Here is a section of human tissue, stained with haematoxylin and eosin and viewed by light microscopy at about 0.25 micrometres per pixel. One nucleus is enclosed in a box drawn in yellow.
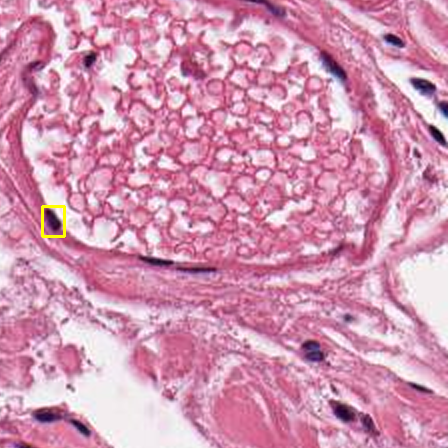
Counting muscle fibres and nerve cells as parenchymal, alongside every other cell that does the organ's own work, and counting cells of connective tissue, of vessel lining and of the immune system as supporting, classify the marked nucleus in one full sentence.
Held by a supporting cell is the marked nucleus in this section.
